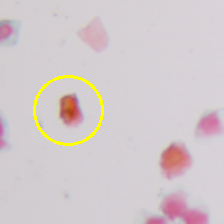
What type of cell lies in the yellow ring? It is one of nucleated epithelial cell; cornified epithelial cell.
The ringed cell is a cornified epithelial cell.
